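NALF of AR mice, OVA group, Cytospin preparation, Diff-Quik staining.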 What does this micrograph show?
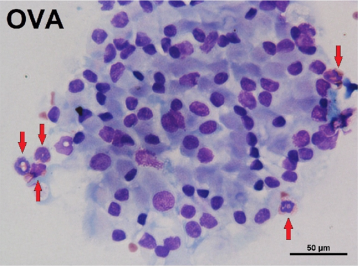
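Dozens of cells with round to oval, dark purple nuclei lie crowded and overlapping over a pale blue background of cytoplasm. Some nuclei are deep violet and compact, others paler and larger. At the margins of the cluster several small cells with ring-shaped nuclei and a pinkish-red cytoplasm stand out; these are eosinophils. A few red-pink specks and debris lie scattered around the edge. The sheer number and crowding of cells indicate heavy inflammatory cell infiltration of the nasal fluid.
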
